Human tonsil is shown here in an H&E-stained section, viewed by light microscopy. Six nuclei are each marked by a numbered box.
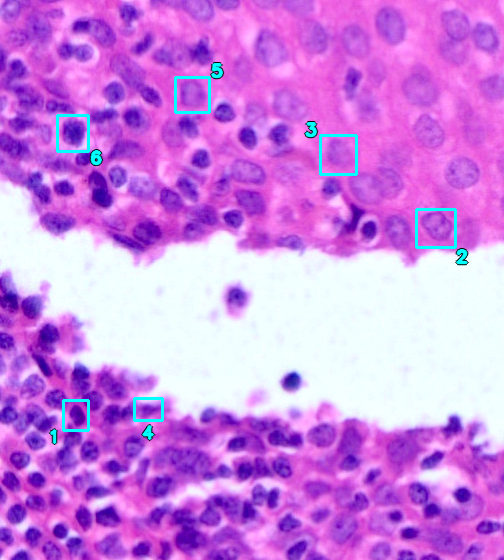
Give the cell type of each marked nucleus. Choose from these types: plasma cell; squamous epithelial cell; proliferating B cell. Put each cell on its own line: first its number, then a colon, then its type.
1: plasma cell
2: squamous epithelial cell
3: squamous epithelial cell
4: squamous epithelial cell
5: squamous epithelial cell
6: proliferating B cell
